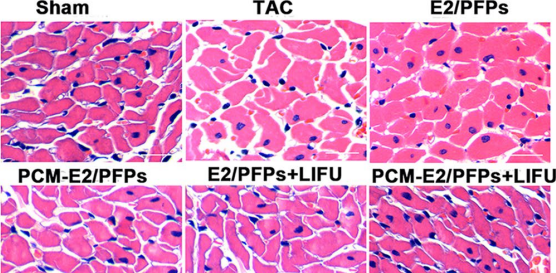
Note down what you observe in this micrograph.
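Six fields of heart muscle cut across, the muscle cells appearing as closely packed polygonal profiles with pink cytoplasm separated by thin white spaces. Many cells contain a single dark purple, oval nucleus, and the size of the cell profiles varies between the fields, some showing noticeably larger cells than others.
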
